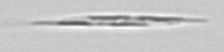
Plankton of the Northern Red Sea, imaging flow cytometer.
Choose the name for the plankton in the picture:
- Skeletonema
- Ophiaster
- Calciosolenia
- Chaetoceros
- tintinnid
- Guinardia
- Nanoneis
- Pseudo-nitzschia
Pseudo-nitzschia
